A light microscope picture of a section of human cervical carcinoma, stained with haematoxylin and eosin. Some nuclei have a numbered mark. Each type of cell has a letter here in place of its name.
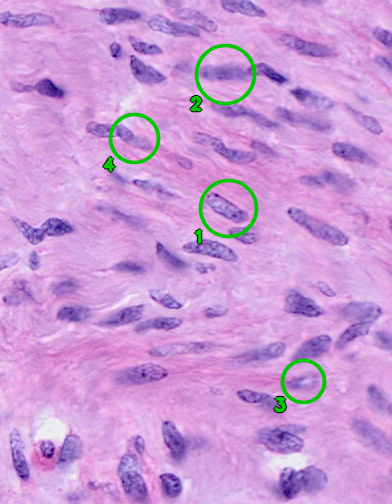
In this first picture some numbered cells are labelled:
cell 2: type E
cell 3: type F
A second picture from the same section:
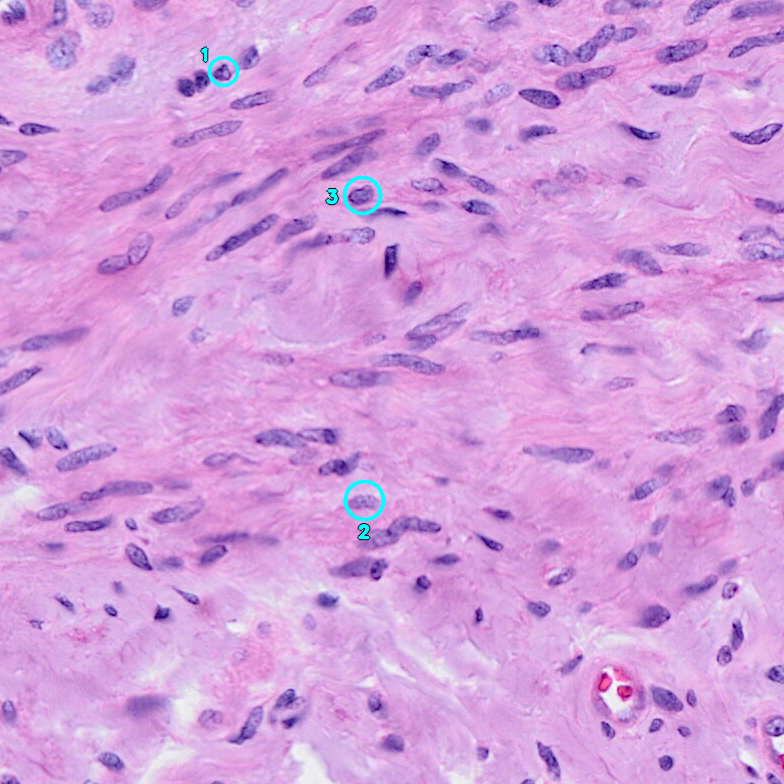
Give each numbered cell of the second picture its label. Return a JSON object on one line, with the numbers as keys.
{"1": "type E", "2": "type F", "3": "type F"}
